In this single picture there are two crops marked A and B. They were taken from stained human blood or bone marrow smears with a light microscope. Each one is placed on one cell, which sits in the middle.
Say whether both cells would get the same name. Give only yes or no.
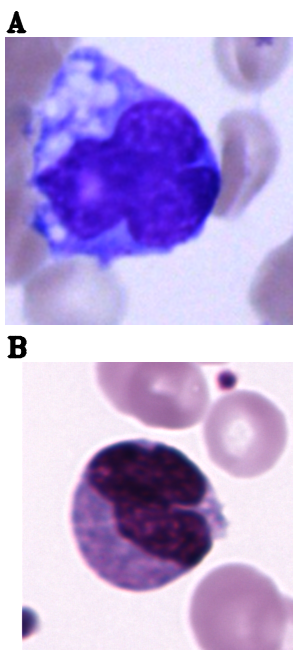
yes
